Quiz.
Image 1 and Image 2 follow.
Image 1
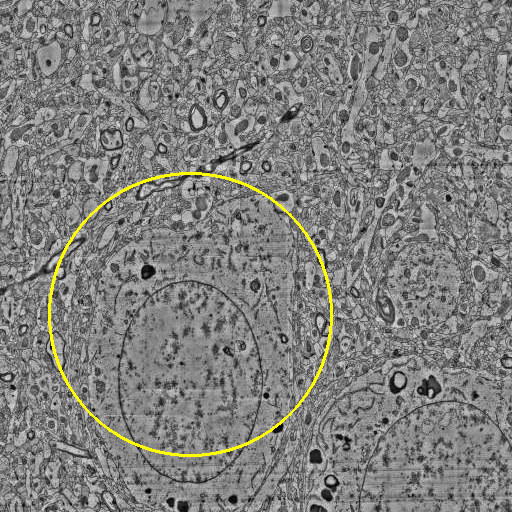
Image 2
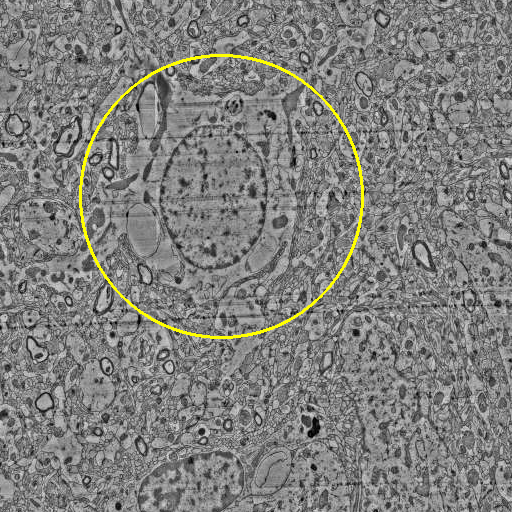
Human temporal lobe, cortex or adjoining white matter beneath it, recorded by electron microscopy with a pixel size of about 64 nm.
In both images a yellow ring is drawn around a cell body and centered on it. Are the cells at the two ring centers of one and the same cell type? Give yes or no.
no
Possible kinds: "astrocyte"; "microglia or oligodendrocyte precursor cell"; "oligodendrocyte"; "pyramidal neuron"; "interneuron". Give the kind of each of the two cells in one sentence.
The cell in the second picture is an astrocyte, and that in the first is a pyramidal neuron.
